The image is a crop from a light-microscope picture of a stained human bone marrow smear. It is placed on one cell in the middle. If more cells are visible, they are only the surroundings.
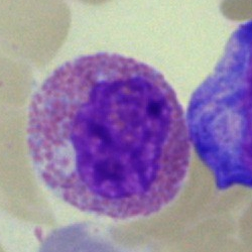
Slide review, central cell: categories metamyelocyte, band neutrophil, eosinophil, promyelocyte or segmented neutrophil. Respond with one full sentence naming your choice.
Seen at the centre of the crop is an eosinophil.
